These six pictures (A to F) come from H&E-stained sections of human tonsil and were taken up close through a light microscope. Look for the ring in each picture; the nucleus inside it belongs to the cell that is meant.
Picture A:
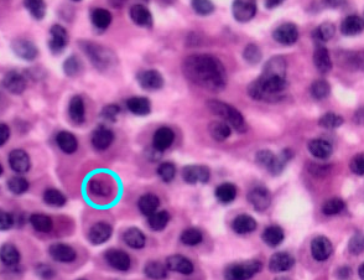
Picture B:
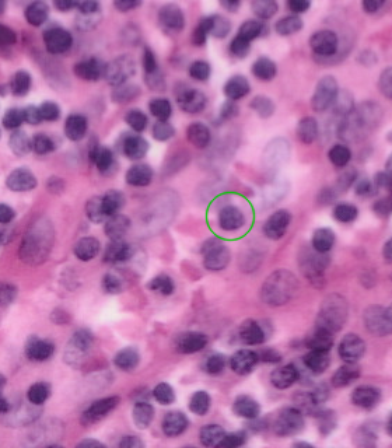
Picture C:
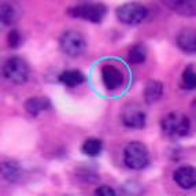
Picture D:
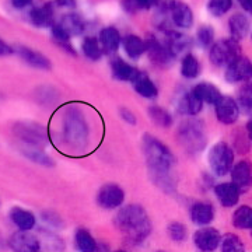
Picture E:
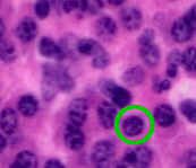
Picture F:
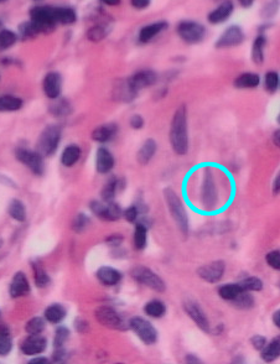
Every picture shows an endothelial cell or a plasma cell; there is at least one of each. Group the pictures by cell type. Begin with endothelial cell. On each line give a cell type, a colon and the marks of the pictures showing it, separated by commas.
endothelial cell: B, D, F
plasma cell: A, C, E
